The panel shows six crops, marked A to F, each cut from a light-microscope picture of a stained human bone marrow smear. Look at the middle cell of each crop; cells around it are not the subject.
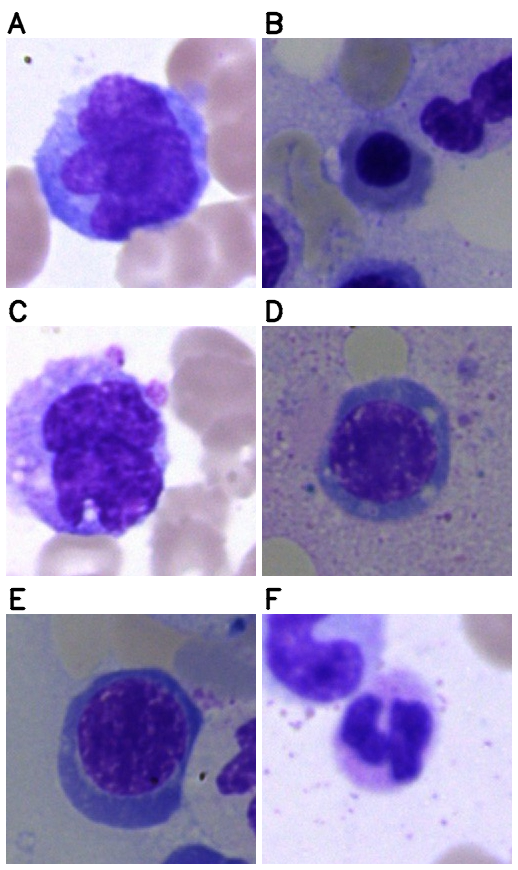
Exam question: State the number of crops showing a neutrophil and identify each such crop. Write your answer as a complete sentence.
There is precisely one crop containing a neutrophil, and that is crop F.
